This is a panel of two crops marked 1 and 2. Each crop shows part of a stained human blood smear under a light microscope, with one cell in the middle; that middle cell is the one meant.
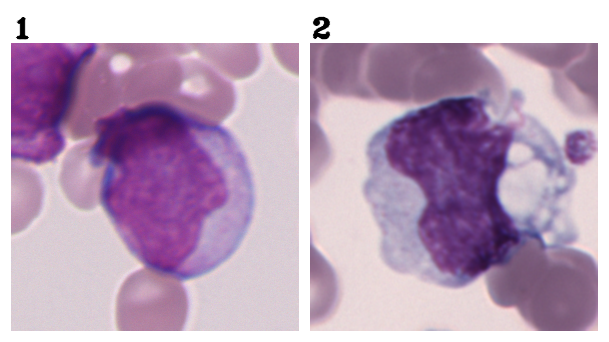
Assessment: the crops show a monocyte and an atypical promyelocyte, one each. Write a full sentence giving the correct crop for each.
Placed in the middle of crop 1 is an atypical promyelocyte, and in the middle of crop 2, a monocyte.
